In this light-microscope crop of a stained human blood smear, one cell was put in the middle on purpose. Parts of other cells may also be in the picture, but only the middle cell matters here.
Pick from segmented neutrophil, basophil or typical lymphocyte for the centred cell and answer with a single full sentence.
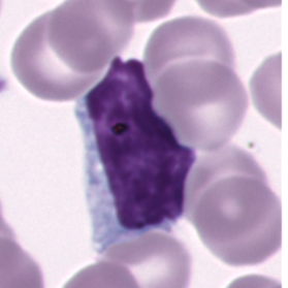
Answering briefly, the cell in the middle is a typical lymphocyte.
